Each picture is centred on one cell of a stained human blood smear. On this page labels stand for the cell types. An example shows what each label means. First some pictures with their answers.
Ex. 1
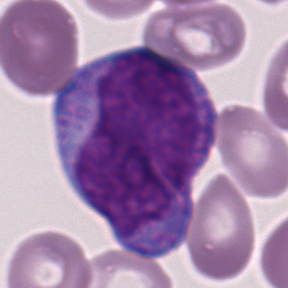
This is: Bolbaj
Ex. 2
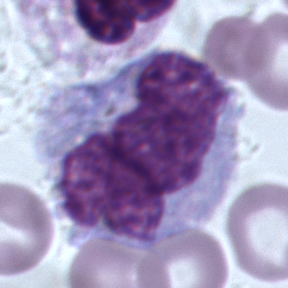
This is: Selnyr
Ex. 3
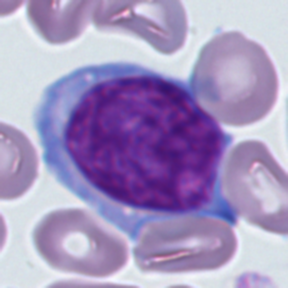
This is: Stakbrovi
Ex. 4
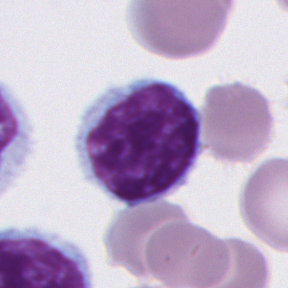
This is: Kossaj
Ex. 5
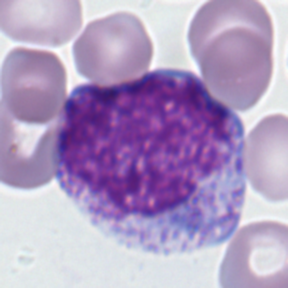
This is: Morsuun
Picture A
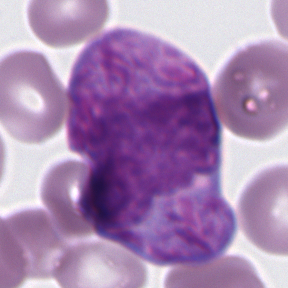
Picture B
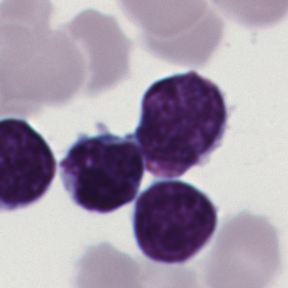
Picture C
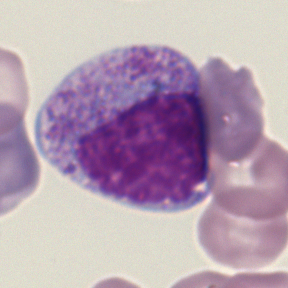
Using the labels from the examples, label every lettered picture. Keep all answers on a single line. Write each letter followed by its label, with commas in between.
A Bolbaj, B Stakbrovi, C Morsuun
